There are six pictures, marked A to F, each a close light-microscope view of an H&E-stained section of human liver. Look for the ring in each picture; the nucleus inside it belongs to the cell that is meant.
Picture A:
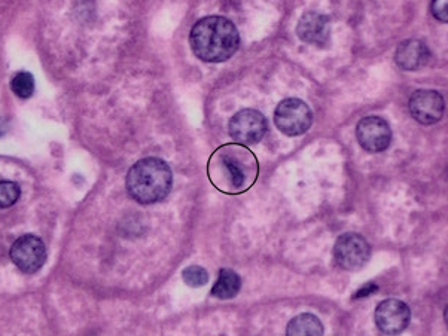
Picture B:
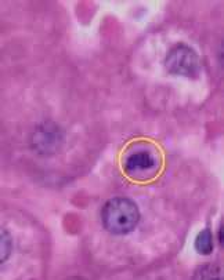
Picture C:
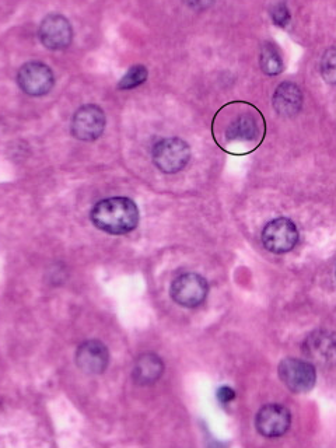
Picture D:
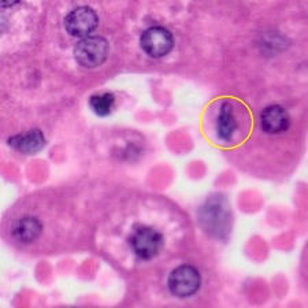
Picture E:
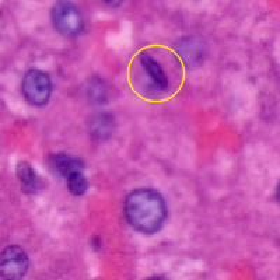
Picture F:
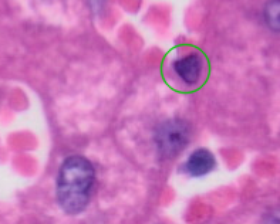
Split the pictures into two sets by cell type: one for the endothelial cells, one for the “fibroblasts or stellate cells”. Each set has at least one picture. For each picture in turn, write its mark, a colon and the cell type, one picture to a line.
A: endothelial cell
B: fibroblast or stellate cell
C: endothelial cell
D: fibroblast or stellate cell
E: fibroblast or stellate cell
F: fibroblast or stellate cell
